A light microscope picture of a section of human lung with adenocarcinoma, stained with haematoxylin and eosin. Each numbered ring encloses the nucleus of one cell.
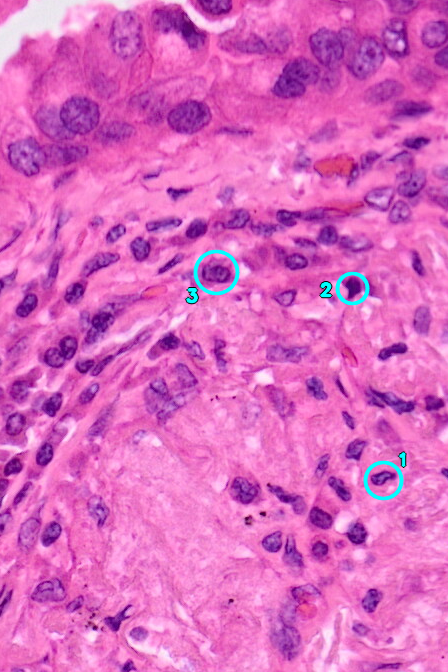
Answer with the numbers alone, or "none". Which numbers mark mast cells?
1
